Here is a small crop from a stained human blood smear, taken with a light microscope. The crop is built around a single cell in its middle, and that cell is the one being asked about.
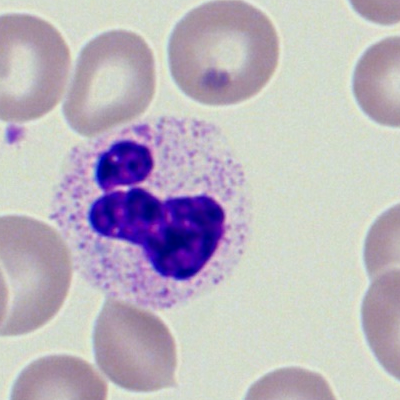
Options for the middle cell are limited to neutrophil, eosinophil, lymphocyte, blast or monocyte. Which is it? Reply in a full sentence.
The cell at the middle of the crop is recognized as a neutrophil.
